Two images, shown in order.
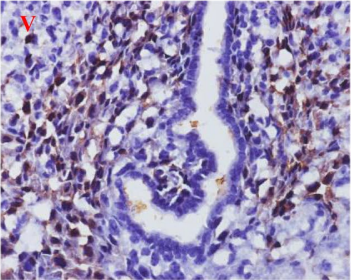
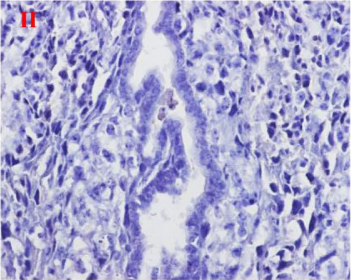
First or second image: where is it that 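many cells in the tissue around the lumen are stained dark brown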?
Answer: the first image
